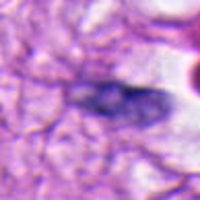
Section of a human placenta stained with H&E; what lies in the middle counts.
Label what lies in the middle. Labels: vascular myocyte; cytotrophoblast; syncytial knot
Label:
vascular myocyte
